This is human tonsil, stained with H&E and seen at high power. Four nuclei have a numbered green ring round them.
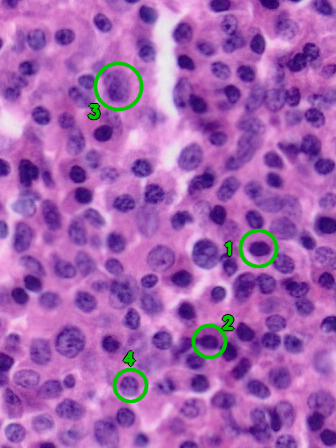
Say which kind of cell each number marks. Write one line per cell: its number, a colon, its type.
1: plasma cell
2: plasma cell
3: squamous epithelial cell
4: plasma cell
